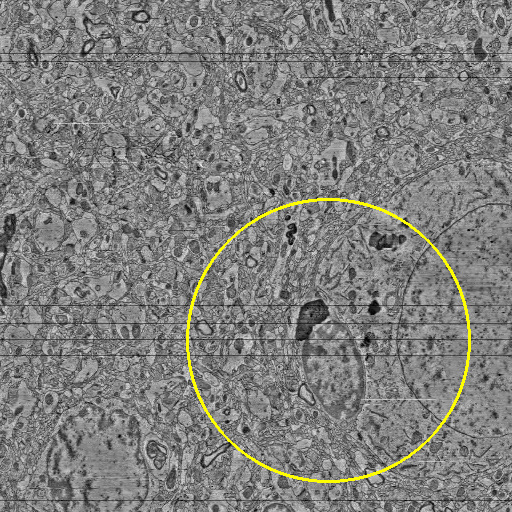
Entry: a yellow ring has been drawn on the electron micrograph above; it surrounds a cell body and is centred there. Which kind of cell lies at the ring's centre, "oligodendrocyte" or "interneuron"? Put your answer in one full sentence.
The cell sitting at the ring's centre is an oligodendrocyte in the micrograph above.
